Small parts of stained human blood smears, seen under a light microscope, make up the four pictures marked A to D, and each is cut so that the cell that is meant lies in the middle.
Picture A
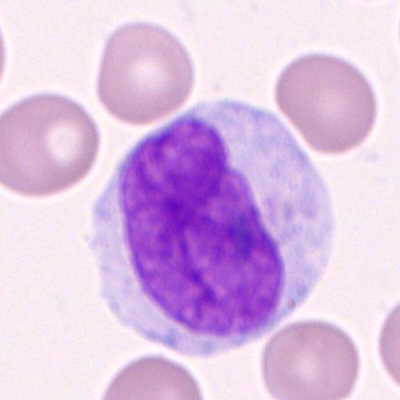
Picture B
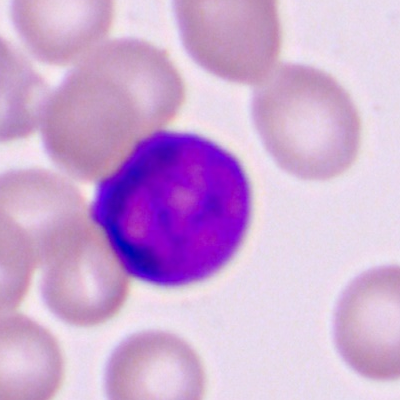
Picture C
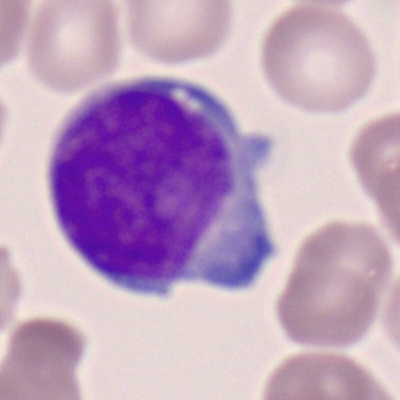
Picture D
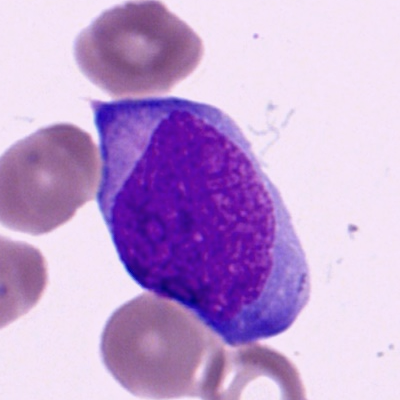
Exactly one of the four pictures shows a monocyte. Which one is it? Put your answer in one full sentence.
Picture A is the one that shows the monocyte.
